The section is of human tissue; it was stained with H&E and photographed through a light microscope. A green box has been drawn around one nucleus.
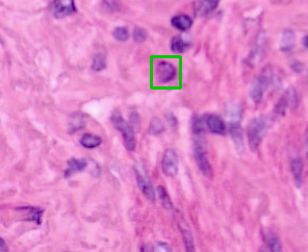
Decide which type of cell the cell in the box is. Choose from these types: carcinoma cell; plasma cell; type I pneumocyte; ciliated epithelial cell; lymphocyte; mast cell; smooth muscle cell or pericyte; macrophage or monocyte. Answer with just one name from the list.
mast cell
